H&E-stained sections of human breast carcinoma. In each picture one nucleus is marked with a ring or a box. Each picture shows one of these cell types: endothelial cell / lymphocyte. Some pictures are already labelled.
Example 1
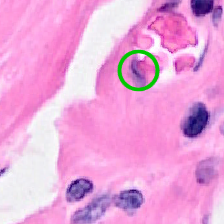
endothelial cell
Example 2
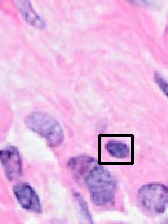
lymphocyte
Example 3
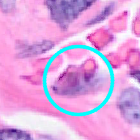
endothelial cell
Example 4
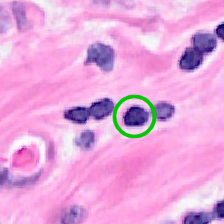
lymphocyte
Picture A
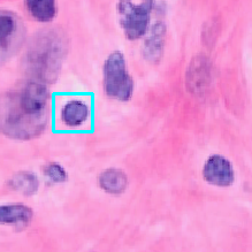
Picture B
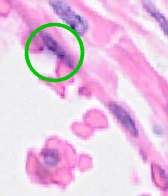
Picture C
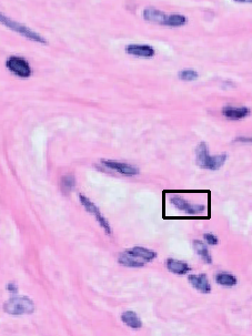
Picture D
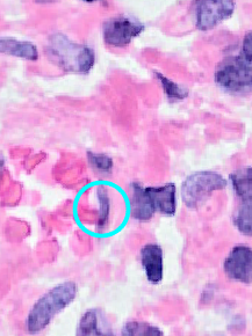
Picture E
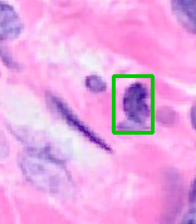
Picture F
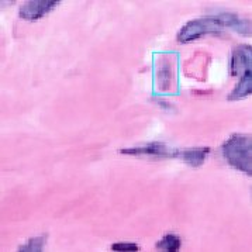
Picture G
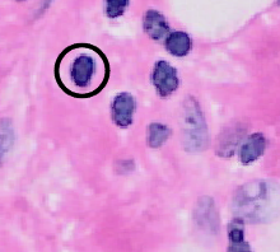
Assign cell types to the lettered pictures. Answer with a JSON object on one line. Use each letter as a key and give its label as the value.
{"A": "lymphocyte", "B": "endothelial cell", "C": "endothelial cell", "D": "endothelial cell", "E": "lymphocyte", "F": "endothelial cell", "G": "lymphocyte"}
